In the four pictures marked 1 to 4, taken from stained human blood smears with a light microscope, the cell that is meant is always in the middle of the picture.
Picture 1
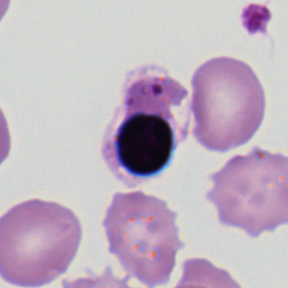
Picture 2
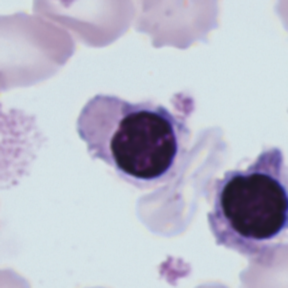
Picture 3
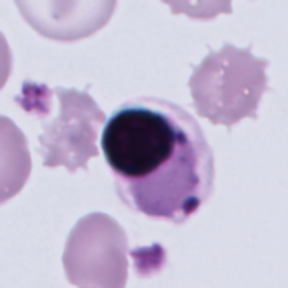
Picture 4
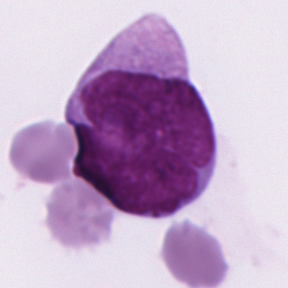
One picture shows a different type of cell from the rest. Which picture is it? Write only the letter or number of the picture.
4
